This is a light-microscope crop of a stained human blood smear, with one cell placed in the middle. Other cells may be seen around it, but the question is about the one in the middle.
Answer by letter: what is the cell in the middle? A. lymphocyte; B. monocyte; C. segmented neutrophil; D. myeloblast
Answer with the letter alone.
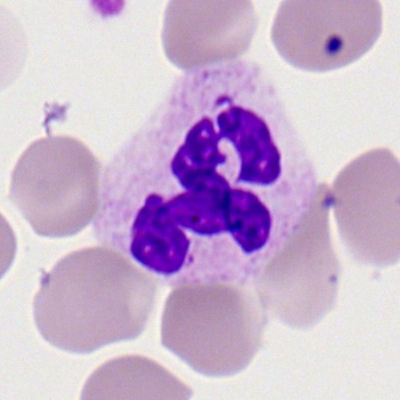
C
